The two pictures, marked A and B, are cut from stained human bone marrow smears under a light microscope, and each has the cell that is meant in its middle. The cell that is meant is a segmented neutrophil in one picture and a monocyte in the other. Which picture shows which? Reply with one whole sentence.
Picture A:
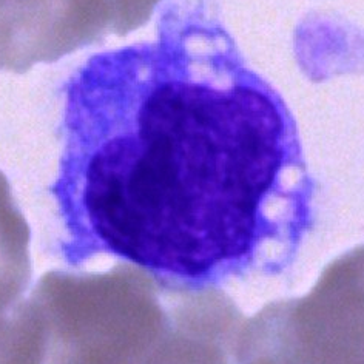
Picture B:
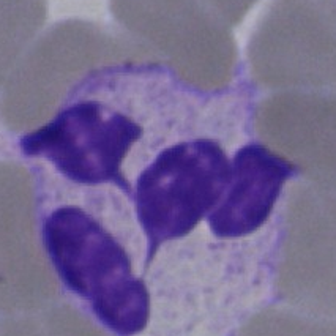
The cell in picture A is a monocyte, and the one in picture B is a segmented neutrophil.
